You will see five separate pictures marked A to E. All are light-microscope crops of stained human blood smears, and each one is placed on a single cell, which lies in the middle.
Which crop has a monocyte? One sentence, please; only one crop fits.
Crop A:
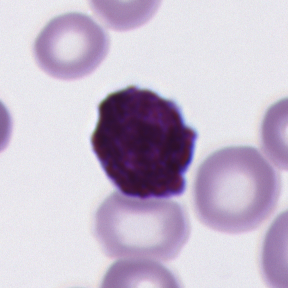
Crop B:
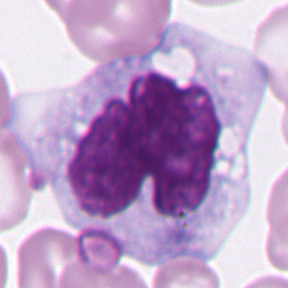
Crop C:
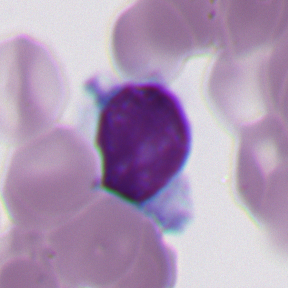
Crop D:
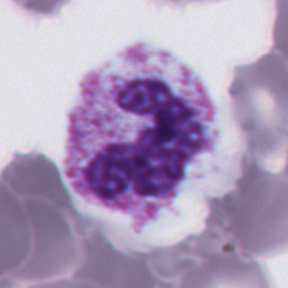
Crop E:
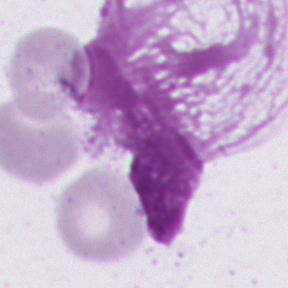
Among all the crops given here, the one with a monocyte is crop B.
